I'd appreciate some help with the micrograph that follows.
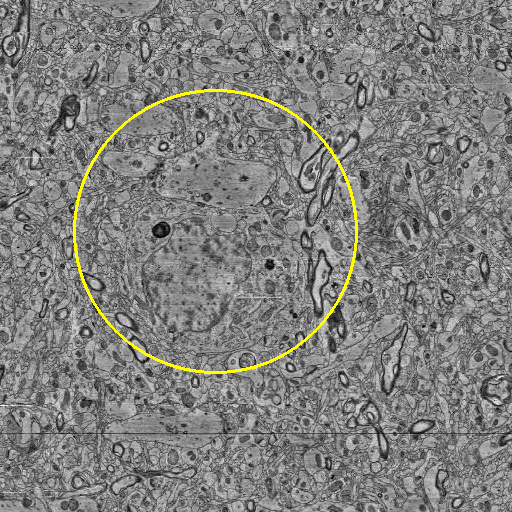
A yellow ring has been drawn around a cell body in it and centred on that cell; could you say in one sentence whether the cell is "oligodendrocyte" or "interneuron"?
It is an interneuron at the centre of the ring.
